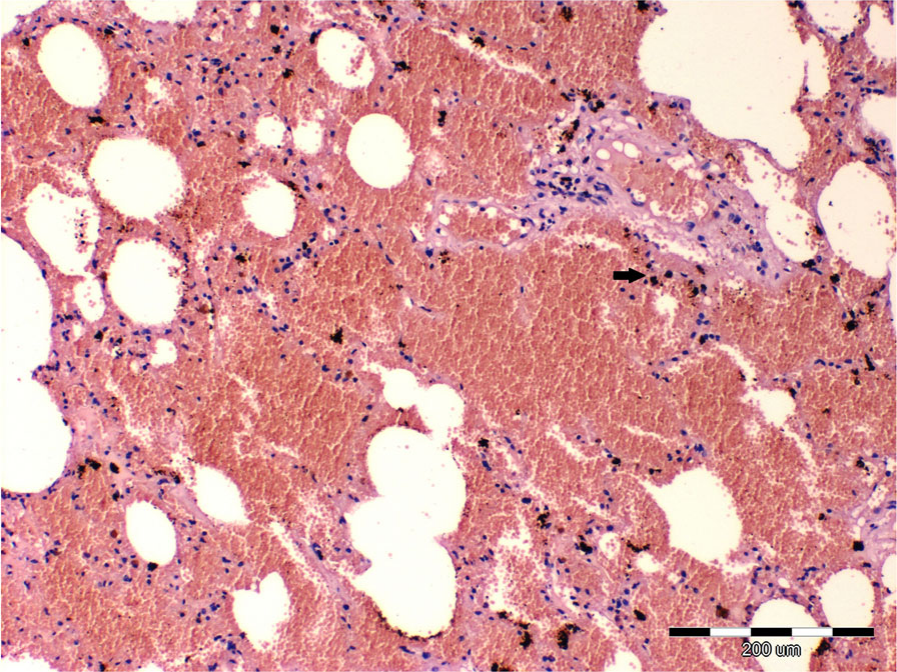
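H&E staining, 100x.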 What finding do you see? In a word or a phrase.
Accumulation of red blood cells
